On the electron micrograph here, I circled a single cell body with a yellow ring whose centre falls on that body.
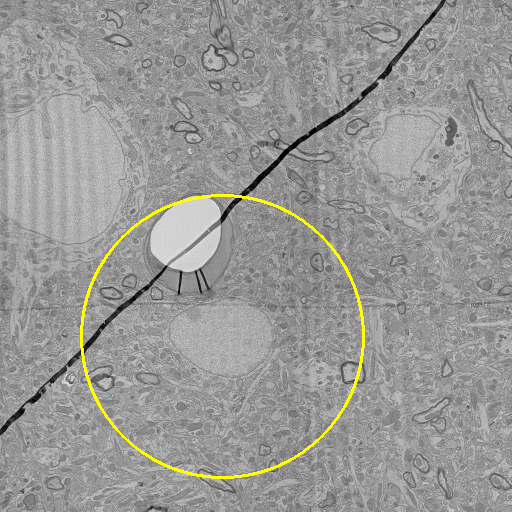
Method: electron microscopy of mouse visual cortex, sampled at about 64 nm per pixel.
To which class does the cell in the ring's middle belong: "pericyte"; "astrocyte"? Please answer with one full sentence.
In this picture, the cell body circled at the ring's centre belongs to an astrocyte.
